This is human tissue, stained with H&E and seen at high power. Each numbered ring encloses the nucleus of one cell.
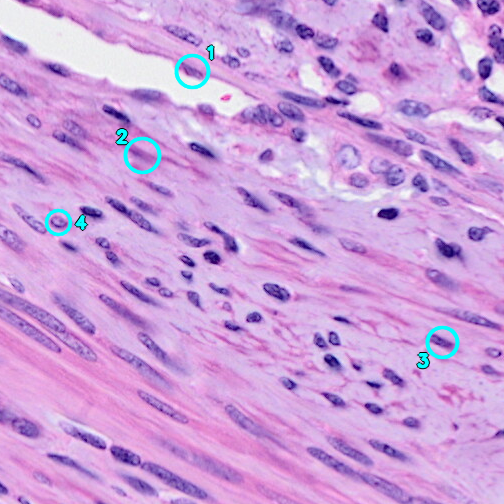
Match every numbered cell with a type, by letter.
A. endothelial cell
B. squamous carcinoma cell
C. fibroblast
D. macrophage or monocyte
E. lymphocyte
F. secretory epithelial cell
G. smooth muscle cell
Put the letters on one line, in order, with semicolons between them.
A; G; G; G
